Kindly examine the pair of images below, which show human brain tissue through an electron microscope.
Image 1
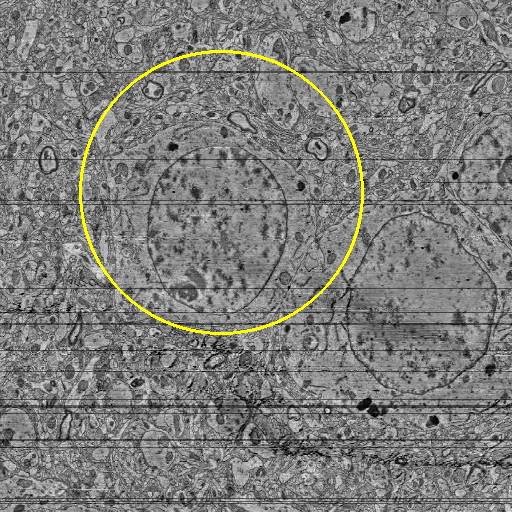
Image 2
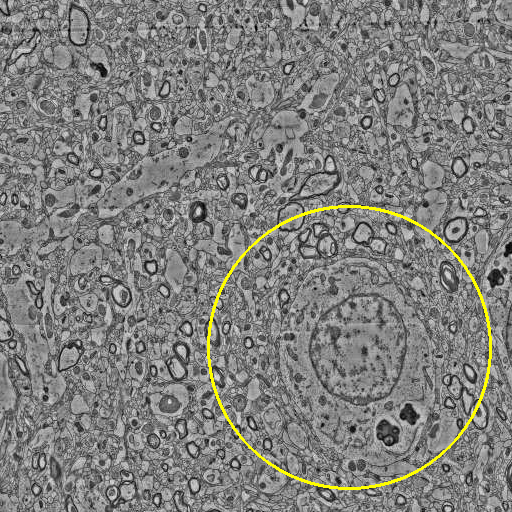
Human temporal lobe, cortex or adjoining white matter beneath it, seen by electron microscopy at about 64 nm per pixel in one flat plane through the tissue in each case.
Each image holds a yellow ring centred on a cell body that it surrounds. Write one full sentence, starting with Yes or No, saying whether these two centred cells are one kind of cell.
Yes, both cells at the centres of the yellow rings belong to one kind of cell.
